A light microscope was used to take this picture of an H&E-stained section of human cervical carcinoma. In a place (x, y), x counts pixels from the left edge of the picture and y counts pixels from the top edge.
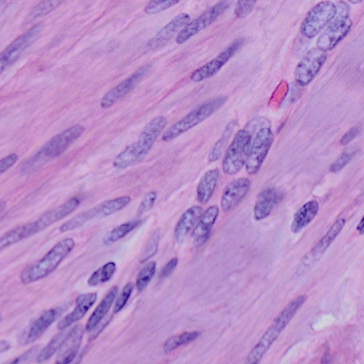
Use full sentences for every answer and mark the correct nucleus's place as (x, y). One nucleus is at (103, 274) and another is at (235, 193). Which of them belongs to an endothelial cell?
Of the two nuclei, the nucleus belonging to an endothelial cell is located at (235, 193).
